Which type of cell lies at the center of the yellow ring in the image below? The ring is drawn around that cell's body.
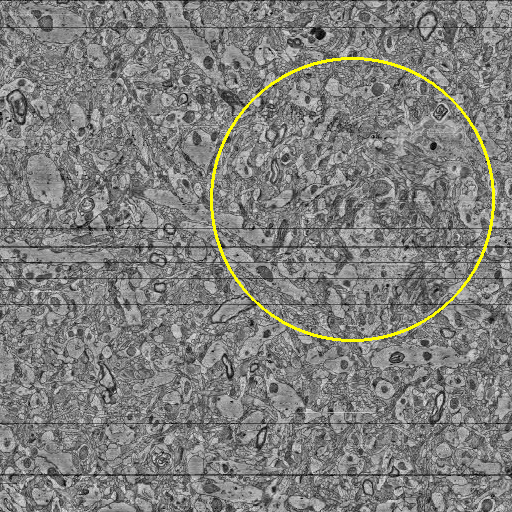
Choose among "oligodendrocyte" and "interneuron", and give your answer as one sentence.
The cell body at the center belongs to an interneuron.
